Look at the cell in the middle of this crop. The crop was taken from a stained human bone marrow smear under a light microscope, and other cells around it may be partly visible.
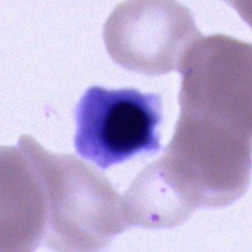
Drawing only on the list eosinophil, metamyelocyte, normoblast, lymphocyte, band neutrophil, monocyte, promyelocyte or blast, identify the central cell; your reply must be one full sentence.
The cell at the middle of the frame should be recorded as a normoblast.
